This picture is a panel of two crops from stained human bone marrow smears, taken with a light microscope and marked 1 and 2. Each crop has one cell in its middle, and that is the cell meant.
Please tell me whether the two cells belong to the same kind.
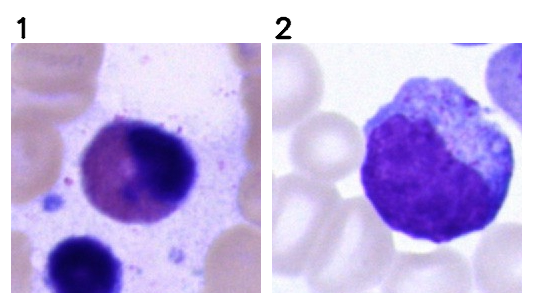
no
